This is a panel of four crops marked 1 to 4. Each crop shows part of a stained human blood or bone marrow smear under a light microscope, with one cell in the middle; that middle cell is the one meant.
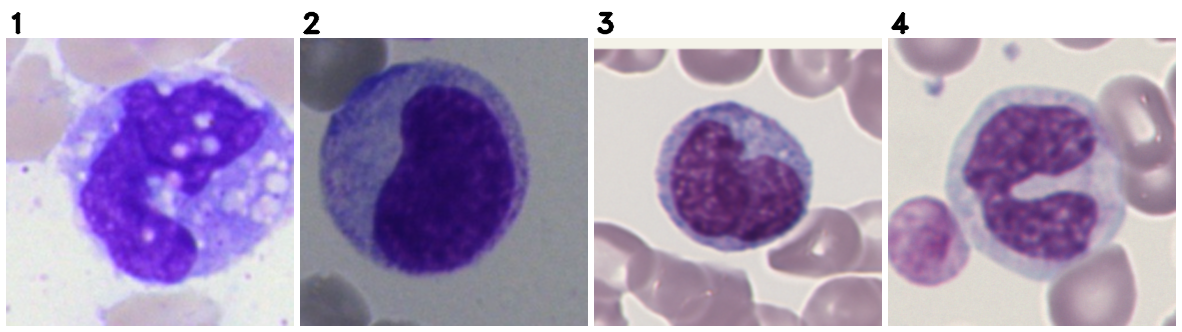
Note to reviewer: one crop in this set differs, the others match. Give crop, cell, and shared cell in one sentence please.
The set is made up of monocytes, with the single exception of crop 2, which is a metamyelocyte.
